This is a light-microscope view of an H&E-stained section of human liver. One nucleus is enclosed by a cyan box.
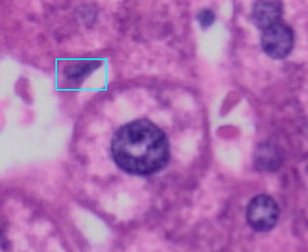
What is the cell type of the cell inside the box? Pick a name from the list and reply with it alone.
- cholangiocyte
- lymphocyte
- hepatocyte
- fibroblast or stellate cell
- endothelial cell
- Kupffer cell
Kupffer cell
